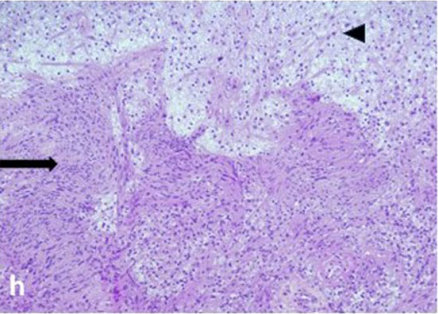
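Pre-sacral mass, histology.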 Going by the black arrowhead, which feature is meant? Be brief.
Antoni B.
